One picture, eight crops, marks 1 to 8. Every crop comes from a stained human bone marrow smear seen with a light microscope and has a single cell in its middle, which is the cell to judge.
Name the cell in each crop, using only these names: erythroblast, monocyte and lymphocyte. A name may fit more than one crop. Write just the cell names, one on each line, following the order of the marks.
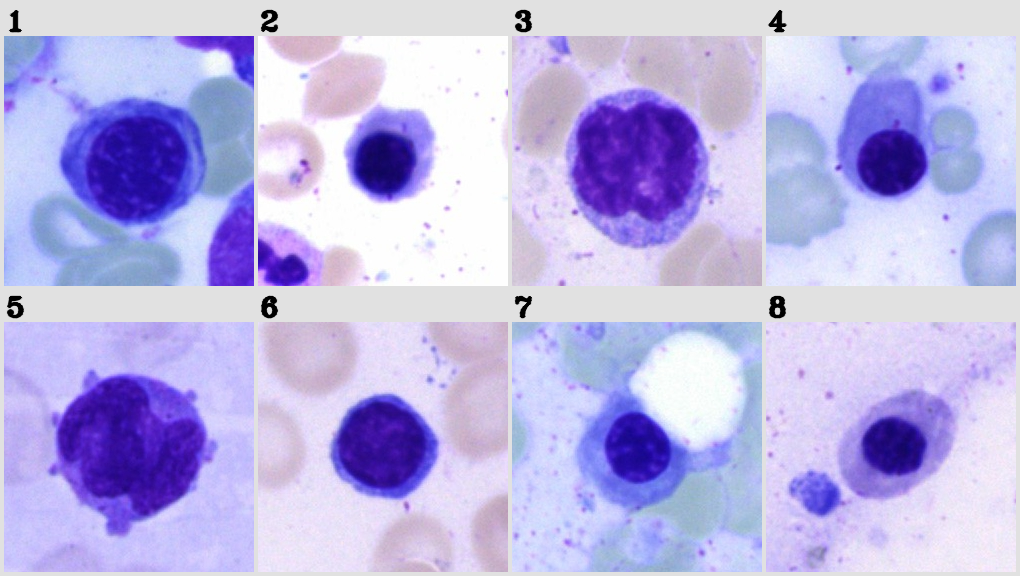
erythroblast
erythroblast
monocyte
erythroblast
monocyte
lymphocyte
erythroblast
erythroblast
